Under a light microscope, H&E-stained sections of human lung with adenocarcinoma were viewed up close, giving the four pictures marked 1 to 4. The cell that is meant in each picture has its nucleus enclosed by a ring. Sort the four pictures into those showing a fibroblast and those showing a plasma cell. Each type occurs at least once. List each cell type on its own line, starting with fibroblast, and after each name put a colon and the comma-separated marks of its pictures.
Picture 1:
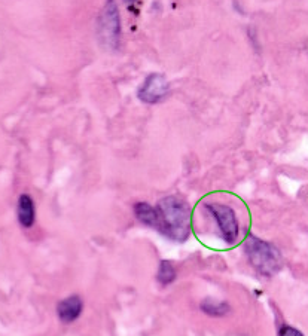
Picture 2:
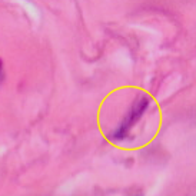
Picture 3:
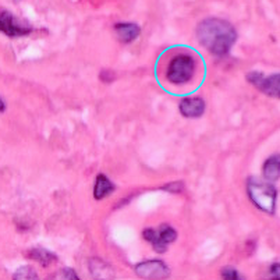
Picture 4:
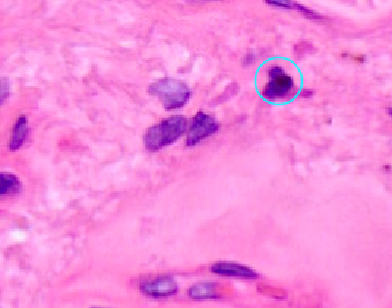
fibroblast: 1, 2
plasma cell: 3, 4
